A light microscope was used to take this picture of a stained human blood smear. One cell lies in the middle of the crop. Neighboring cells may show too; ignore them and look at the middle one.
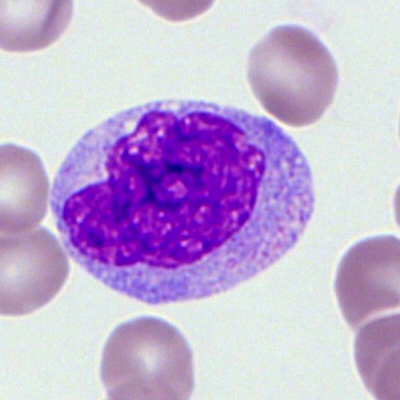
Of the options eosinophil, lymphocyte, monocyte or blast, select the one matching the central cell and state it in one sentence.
The crop's centre is taken up by a monocyte.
